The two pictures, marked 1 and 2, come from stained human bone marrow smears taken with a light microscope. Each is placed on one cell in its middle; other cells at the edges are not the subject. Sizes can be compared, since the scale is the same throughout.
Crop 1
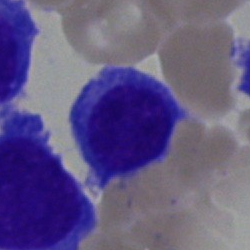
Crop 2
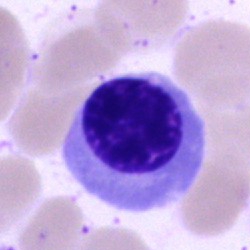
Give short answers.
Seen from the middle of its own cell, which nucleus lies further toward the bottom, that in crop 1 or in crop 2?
1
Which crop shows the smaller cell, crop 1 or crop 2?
1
